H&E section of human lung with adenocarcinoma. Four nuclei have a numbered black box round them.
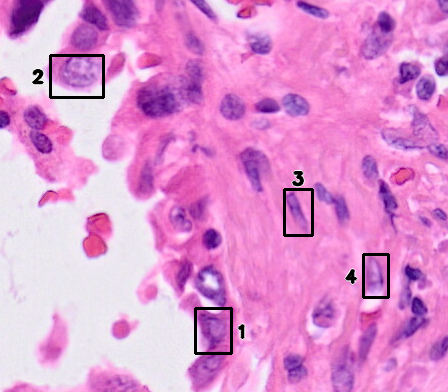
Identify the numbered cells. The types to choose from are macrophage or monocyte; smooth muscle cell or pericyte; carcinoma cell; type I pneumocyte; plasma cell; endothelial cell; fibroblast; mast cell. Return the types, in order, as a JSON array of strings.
["carcinoma cell", "carcinoma cell", "smooth muscle cell or pericyte", "endothelial cell"]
